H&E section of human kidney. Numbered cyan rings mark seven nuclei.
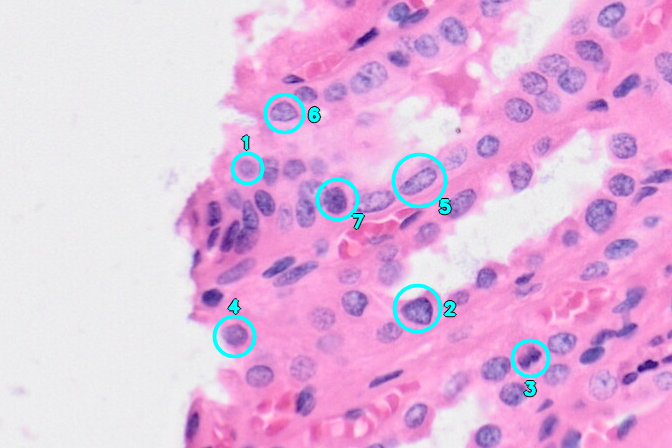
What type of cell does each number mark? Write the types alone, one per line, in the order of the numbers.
collecting duct cell
loop of Henle or distal tubule cell
loop of Henle or distal tubule cell
loop of Henle or distal tubule cell
collecting duct cell
collecting duct cell
collecting duct cell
